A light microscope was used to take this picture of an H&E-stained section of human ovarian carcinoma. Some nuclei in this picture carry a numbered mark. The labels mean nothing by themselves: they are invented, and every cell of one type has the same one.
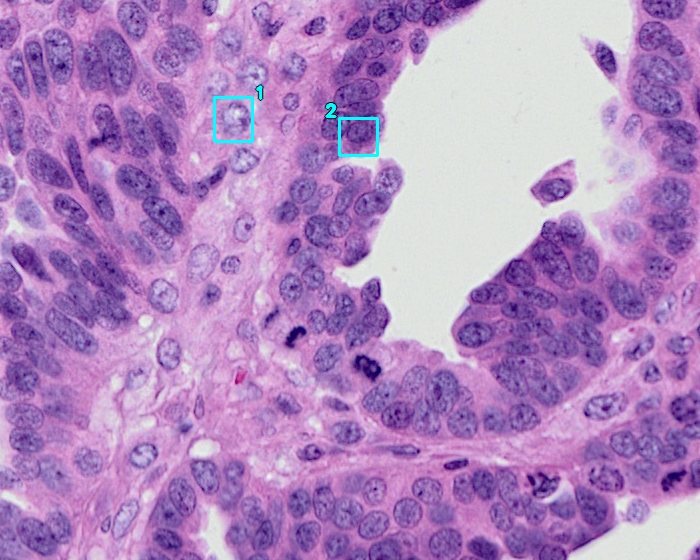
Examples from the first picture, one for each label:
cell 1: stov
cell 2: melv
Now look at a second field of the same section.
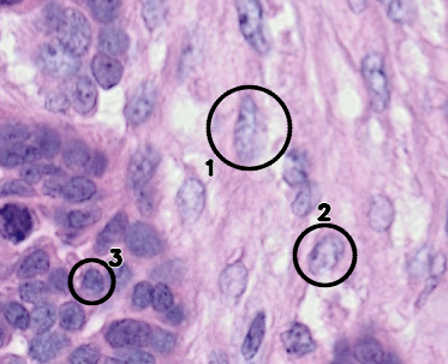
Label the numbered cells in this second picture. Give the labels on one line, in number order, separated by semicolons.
stov; stov; melv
